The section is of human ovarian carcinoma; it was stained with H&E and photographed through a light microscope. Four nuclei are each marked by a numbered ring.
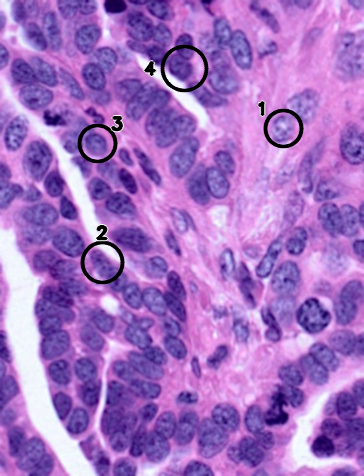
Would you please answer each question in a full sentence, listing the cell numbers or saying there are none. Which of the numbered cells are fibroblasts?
Cell 1 is the single numbered cell that is a fibroblast.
